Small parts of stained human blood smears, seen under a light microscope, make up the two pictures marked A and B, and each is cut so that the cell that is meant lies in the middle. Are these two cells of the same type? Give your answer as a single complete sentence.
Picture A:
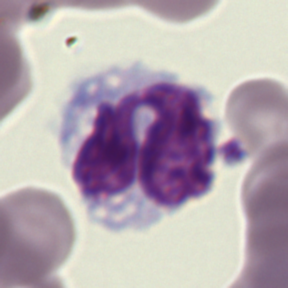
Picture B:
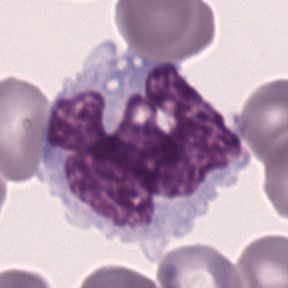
Yes, both cells are monocytes.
